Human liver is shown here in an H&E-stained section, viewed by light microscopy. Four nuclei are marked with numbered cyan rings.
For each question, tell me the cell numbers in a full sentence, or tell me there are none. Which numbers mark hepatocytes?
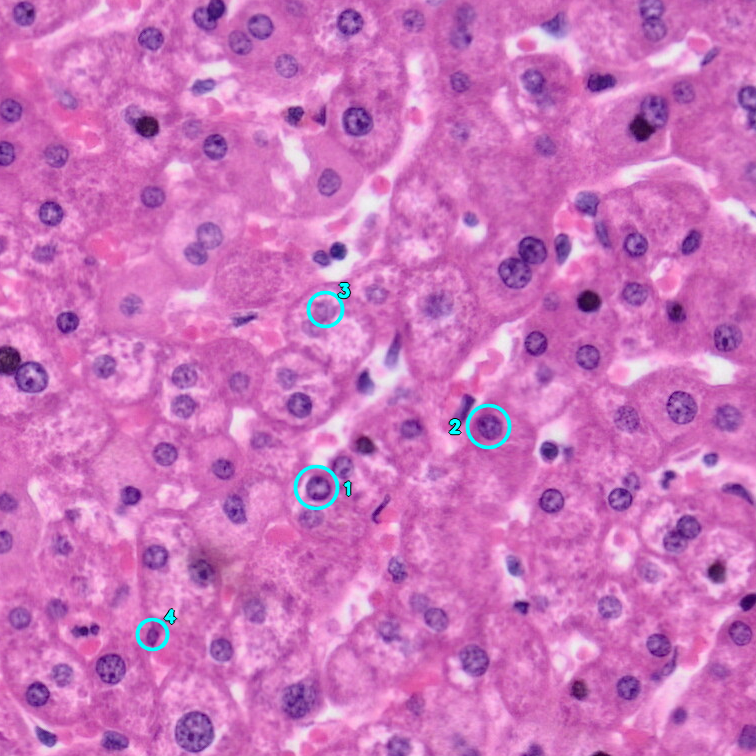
Regarding the numbered cells 1, 2 and 3, these are hepatocytes.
